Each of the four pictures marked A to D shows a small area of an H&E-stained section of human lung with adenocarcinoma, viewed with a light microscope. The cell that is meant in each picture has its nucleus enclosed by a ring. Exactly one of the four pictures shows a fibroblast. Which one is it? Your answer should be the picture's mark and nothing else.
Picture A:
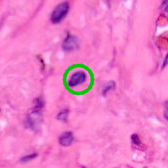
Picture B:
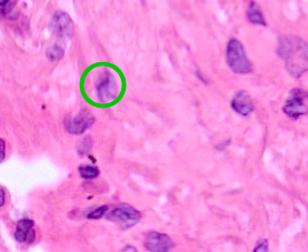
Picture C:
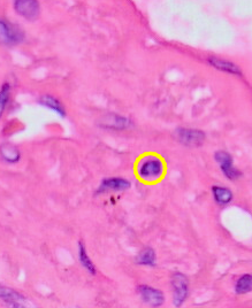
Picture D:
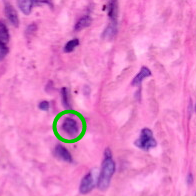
B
